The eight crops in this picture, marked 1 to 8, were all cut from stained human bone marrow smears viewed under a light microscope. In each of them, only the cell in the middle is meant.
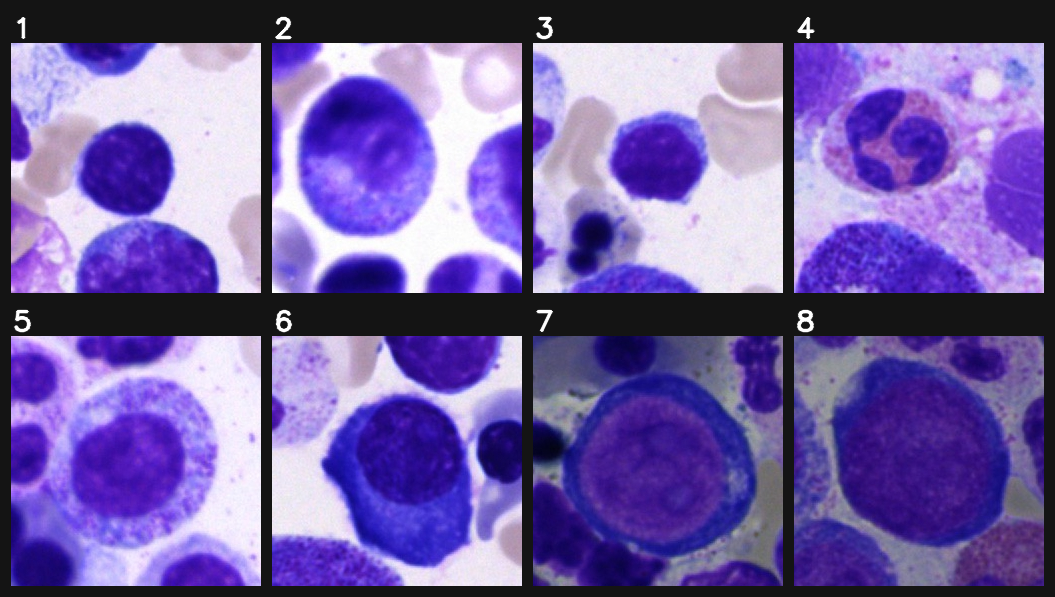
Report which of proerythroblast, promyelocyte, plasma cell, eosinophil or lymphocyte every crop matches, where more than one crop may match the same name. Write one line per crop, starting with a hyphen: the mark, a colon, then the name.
- 1: lymphocyte
- 2: promyelocyte
- 3: lymphocyte
- 4: eosinophil
- 5: promyelocyte
- 6: plasma cell
- 7: proerythroblast
- 8: proerythroblast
